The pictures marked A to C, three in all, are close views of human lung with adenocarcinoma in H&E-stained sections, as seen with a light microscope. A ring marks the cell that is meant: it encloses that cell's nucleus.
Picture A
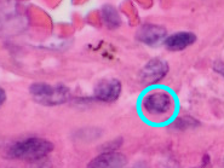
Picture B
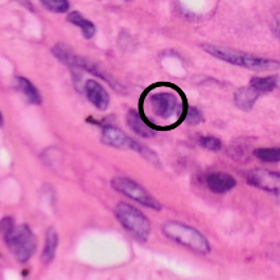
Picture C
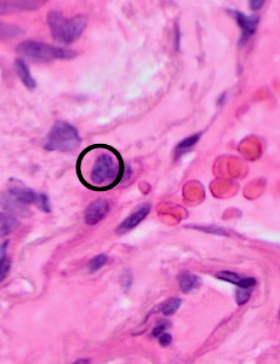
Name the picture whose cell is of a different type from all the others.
B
